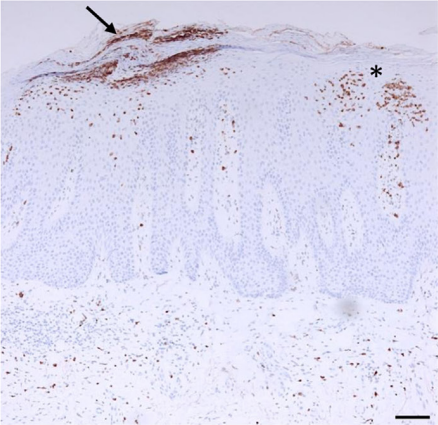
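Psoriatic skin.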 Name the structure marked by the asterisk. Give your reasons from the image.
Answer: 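A cluster of brown-stained cells lies within the upper epidermis below the cornified layer. That points to this answer: spongiform pustules of Kogoj.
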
